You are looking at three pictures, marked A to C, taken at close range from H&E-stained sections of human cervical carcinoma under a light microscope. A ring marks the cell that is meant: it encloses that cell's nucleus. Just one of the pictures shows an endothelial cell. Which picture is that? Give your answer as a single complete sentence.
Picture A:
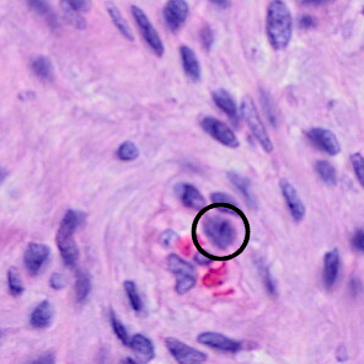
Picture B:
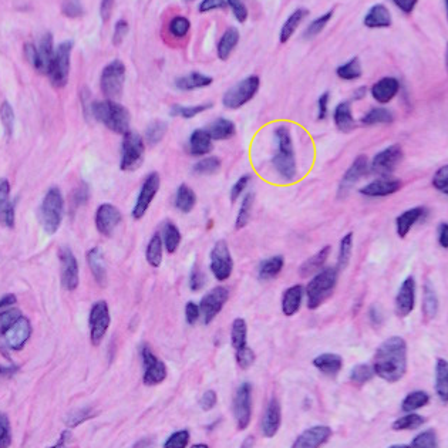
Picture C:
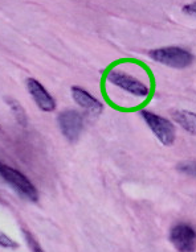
Picture A shows the endothelial cell.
